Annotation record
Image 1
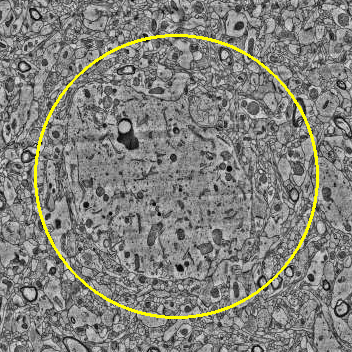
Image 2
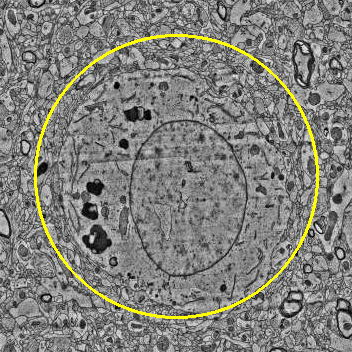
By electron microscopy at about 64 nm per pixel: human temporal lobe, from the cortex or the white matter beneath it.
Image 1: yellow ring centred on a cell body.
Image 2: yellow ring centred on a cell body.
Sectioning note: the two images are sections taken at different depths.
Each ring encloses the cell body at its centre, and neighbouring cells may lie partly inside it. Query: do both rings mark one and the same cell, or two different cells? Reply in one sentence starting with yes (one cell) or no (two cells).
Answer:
Yes, what the two rings mark is one cell.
